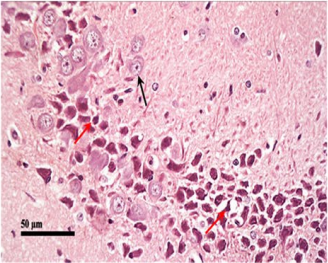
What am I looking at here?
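This section of the hippocampal cell layer shows many damaged neurons. A large share of them are dark purple, shrunken and angular, with no clear nucleus, and they crowd the lower part of the band. A few rounded neurons with pale nuclei and distinct nucleoli remain among them. Clear spaces around cells and between them suggest edema.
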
